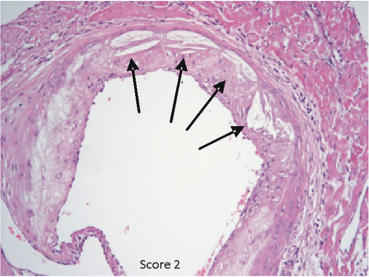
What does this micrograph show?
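Vessel wall cut in cross section with a pale plaque lining much of the open lumen. Within the plaque lie several empty, sharp-edged, needle-shaped clefts. Outside the plaque the wall is denser pink with scattered purple nuclei, bordered by pink tissue beyond.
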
